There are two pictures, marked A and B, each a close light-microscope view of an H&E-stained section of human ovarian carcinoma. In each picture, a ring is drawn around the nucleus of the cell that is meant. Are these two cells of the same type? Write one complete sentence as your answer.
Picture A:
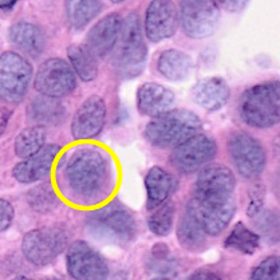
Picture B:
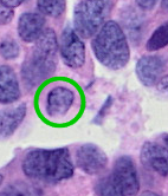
No, the types are not the same, since picture A shows a carcinoma cell and picture B a “macrophage or monocyte”.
